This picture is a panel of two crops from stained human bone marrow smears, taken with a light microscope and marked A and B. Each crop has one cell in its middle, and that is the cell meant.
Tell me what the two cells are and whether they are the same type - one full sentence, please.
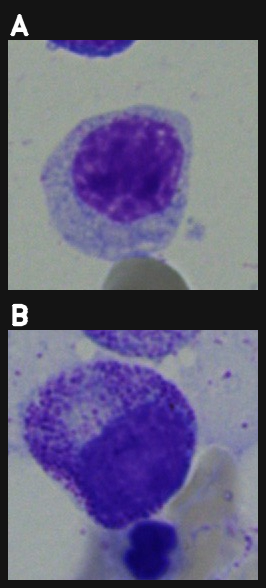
Yes, in both crops, myelocytes are the cells at the middle.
